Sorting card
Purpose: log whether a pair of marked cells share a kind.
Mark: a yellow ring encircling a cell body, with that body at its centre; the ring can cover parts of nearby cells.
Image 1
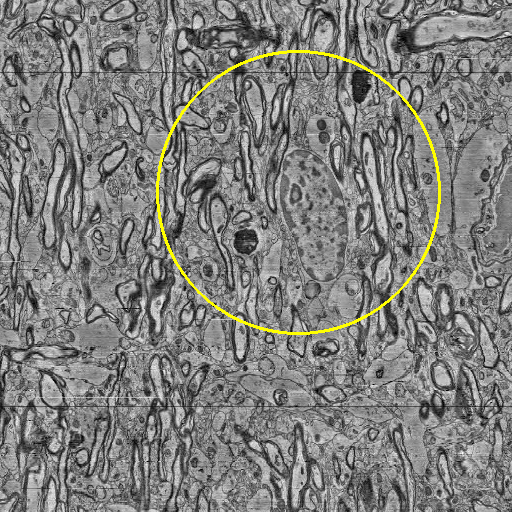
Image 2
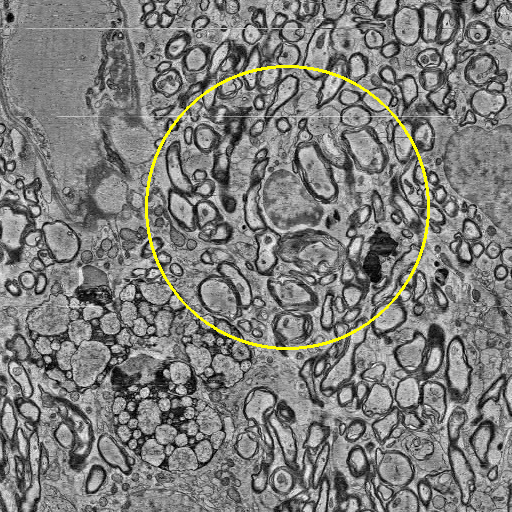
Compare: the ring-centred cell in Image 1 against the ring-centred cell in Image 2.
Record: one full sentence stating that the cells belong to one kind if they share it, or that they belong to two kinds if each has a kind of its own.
Across Images 1 and 2, the two ring-centred cells belong to one kind.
